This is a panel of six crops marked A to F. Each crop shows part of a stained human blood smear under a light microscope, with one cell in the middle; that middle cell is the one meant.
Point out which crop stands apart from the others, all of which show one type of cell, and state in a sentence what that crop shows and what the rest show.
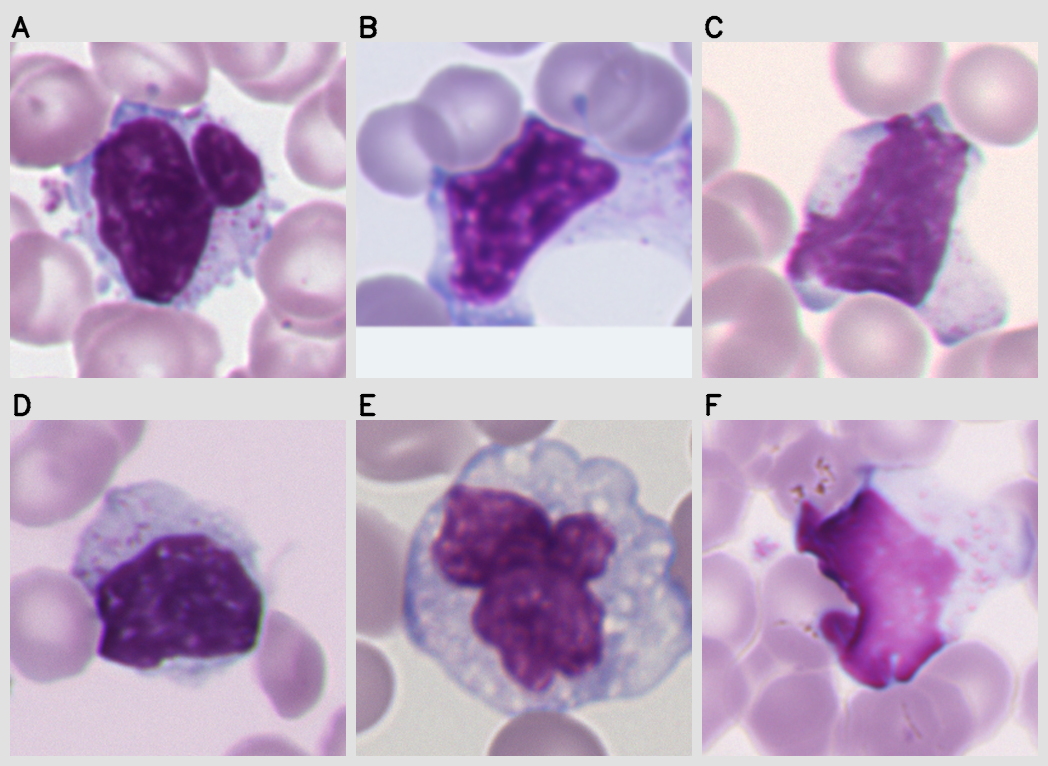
Differing from the rest, crop E shows a monocyte; the others all show large granular lymphocytes.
